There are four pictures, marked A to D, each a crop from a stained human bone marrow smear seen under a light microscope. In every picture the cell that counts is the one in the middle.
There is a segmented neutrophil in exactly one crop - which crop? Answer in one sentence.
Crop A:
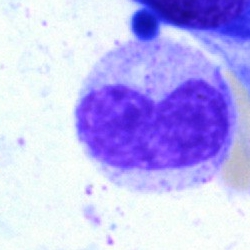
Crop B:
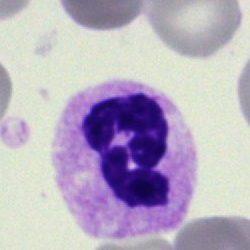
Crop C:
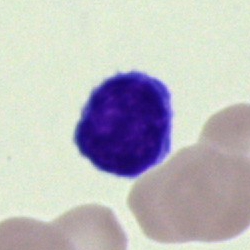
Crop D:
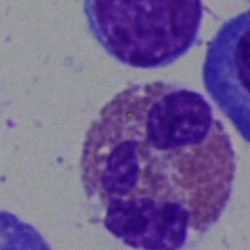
Crop B is the crop that shows a segmented neutrophil in its middle.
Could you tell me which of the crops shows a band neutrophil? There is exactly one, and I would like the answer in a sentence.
In the set of crops, crop A is the one that contains a band neutrophil.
